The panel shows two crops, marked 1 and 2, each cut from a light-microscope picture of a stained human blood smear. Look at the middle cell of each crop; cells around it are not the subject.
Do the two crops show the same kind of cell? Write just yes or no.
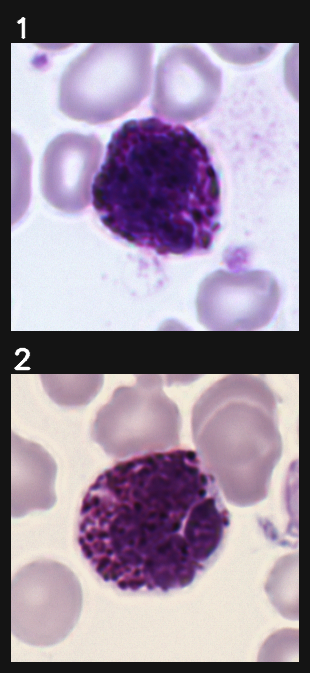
yes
